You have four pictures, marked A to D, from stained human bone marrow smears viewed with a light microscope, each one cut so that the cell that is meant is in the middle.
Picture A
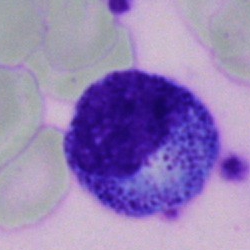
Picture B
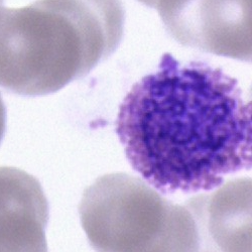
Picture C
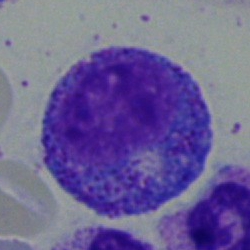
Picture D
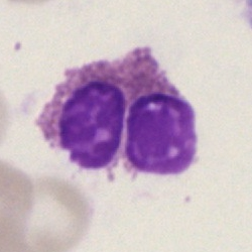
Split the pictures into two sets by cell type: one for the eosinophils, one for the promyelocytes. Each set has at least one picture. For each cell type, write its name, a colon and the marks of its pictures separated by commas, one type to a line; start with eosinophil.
eosinophil: B, D
promyelocyte: A, C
